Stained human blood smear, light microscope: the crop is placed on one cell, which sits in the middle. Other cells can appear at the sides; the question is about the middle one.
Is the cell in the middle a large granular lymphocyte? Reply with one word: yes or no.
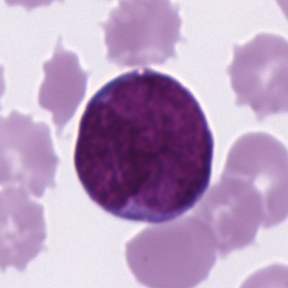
no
